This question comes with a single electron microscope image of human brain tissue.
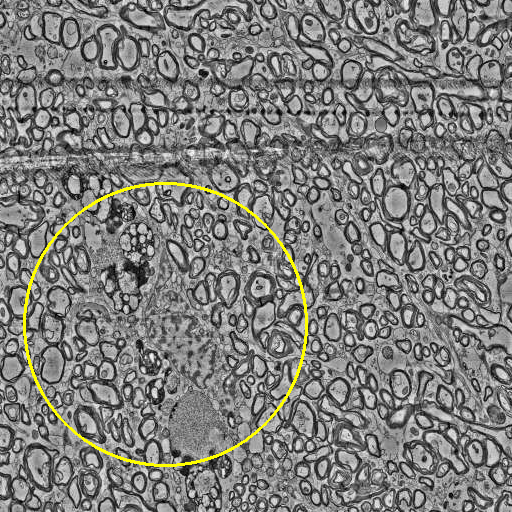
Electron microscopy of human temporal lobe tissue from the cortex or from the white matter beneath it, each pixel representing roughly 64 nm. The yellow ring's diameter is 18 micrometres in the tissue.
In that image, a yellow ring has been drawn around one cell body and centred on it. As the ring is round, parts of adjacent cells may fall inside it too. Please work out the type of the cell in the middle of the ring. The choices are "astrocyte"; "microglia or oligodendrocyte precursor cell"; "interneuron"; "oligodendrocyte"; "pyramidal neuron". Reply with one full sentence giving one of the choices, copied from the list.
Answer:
Of the choices, an astrocyte is the cell sitting in the middle of the ring.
